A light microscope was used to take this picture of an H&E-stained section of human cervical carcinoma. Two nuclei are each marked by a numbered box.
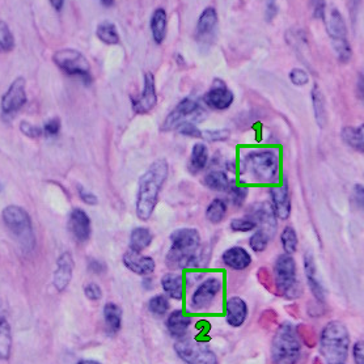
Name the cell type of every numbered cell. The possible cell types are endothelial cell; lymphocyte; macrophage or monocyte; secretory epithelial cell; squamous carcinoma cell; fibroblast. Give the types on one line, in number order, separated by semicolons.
endothelial cell; lymphocyte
